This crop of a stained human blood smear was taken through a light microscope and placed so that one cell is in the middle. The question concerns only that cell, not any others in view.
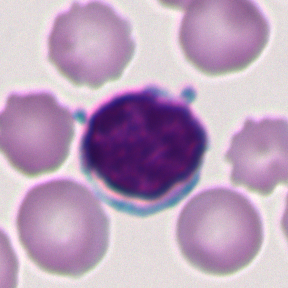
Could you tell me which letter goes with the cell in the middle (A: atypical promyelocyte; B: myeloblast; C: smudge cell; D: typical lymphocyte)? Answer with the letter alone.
D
